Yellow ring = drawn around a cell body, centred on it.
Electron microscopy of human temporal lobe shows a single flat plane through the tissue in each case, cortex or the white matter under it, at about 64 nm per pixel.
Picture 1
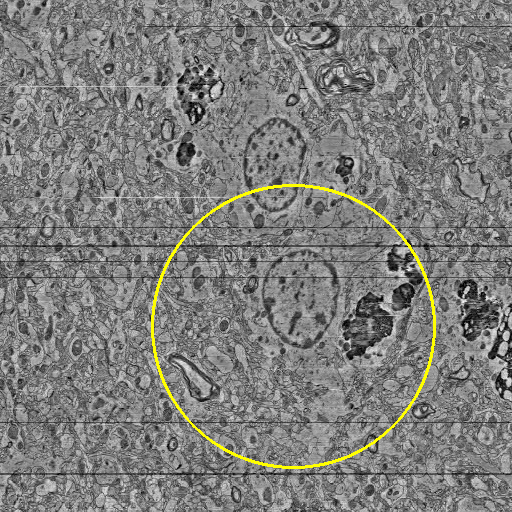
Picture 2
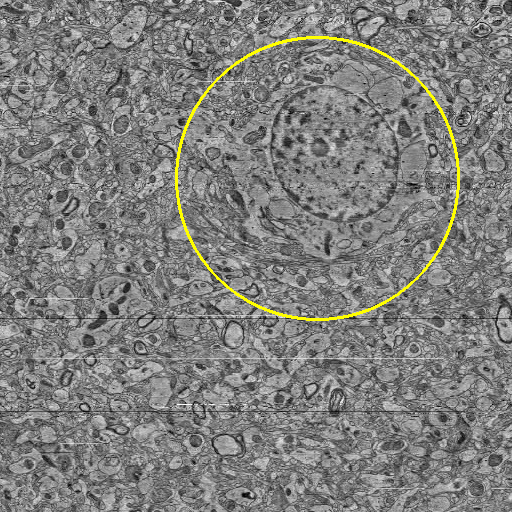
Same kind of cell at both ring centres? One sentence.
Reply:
Yes, they are the same kind of cell.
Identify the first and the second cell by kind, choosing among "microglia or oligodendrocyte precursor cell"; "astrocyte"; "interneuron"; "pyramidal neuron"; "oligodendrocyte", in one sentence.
Both the first and the second picture show an astrocyte in the ring.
